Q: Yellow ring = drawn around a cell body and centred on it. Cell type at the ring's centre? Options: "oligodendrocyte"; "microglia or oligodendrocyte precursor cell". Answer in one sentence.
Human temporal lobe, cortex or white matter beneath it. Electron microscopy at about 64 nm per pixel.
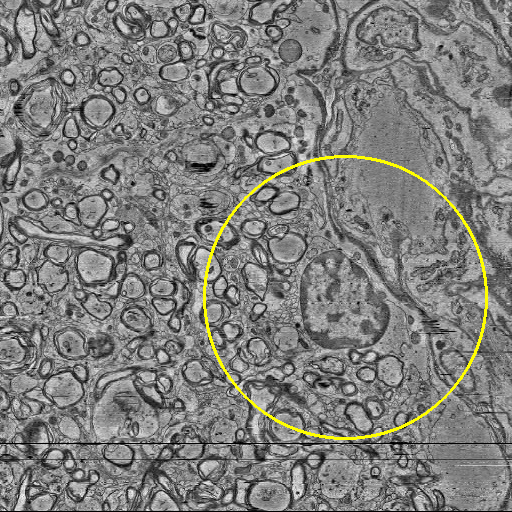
Centred in the ring is a microglial cell or oligodendrocyte precursor cell.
